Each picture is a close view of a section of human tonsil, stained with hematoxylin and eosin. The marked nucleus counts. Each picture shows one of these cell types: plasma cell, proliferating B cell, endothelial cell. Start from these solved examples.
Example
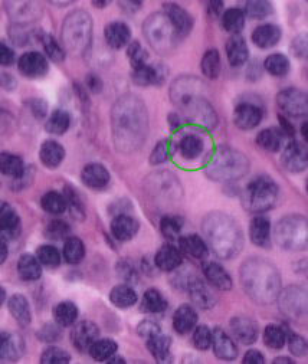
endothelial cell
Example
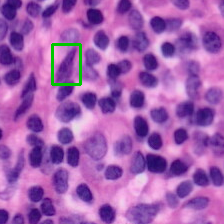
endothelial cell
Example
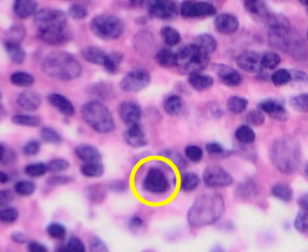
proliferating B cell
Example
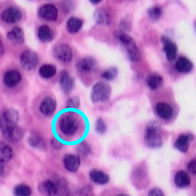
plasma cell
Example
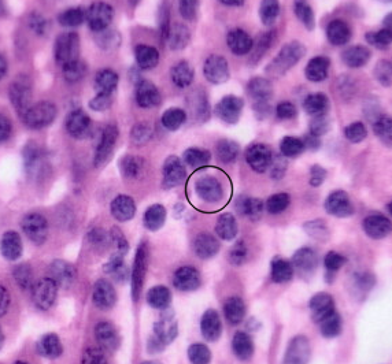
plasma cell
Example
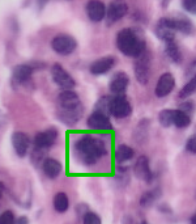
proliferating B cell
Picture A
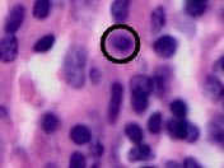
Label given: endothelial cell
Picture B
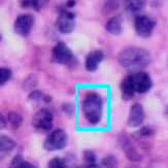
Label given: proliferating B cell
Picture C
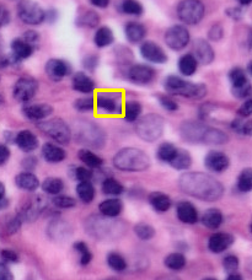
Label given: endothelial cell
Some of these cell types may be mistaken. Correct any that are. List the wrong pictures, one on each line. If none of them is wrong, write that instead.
All labels are correct.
